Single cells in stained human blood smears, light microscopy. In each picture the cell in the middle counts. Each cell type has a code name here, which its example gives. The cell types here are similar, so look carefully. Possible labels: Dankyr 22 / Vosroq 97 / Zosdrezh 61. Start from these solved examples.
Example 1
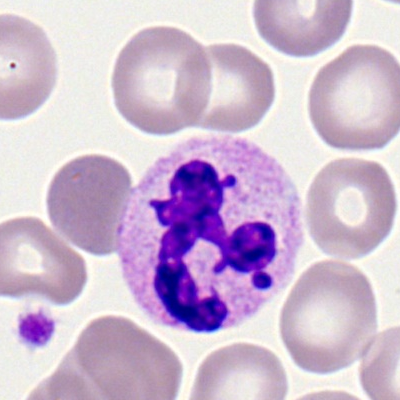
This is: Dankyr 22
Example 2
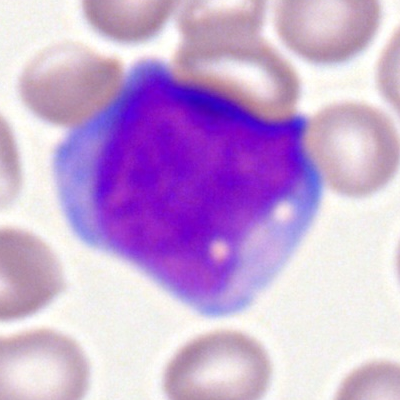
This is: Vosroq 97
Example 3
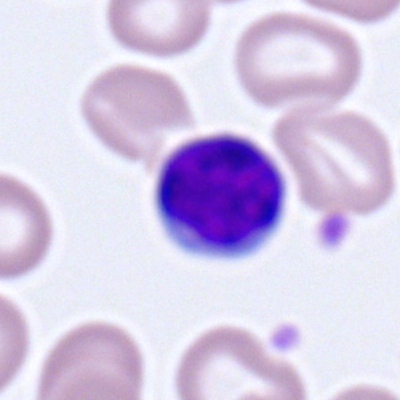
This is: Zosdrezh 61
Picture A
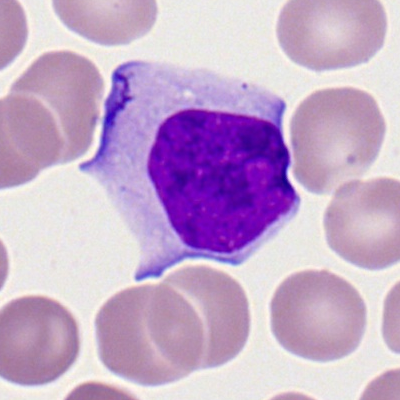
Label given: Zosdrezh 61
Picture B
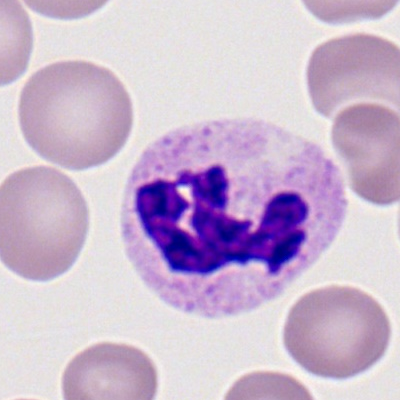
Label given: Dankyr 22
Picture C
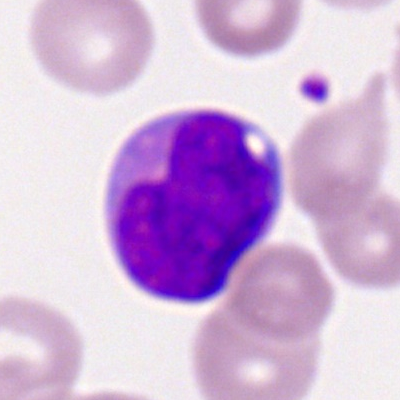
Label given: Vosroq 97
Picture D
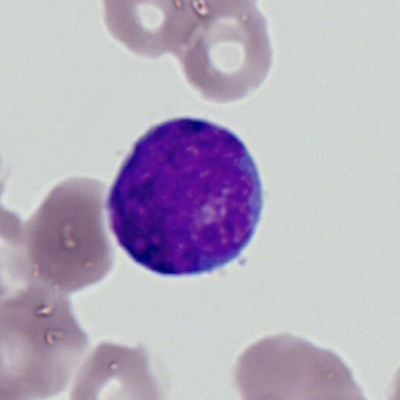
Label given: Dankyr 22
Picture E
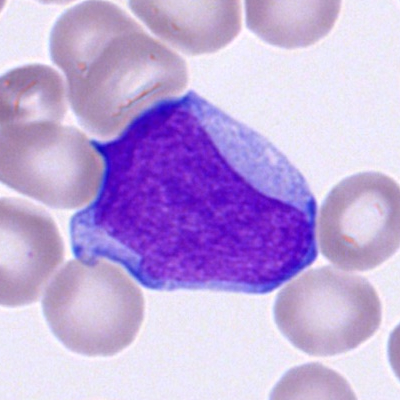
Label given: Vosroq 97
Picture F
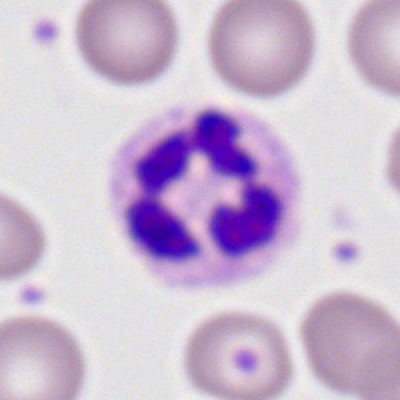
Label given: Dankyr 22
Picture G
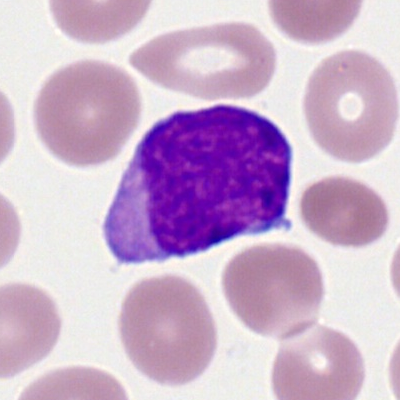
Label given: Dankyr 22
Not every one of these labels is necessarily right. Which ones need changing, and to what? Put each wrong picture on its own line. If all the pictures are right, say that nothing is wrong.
D: not Dankyr 22 but Vosroq 97
G: not Dankyr 22 but Vosroq 97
